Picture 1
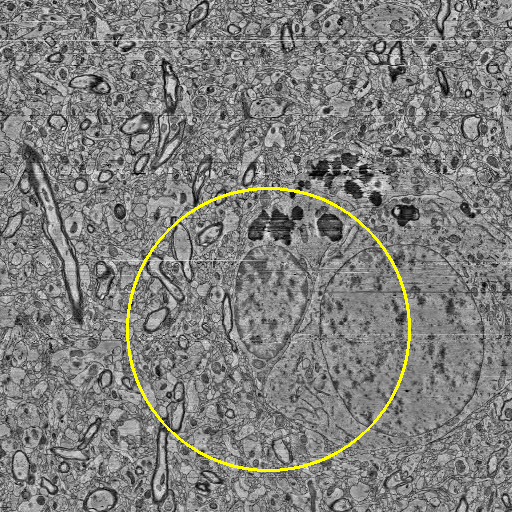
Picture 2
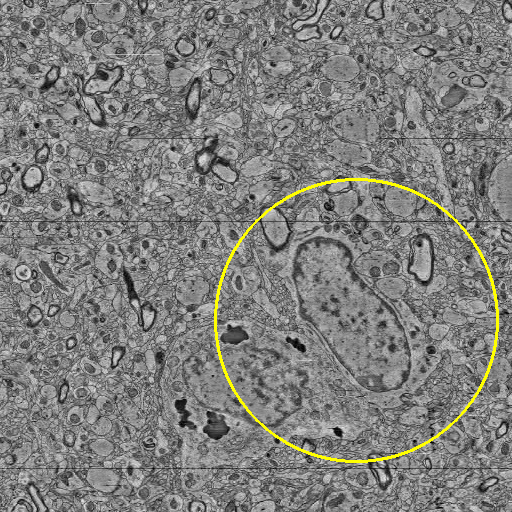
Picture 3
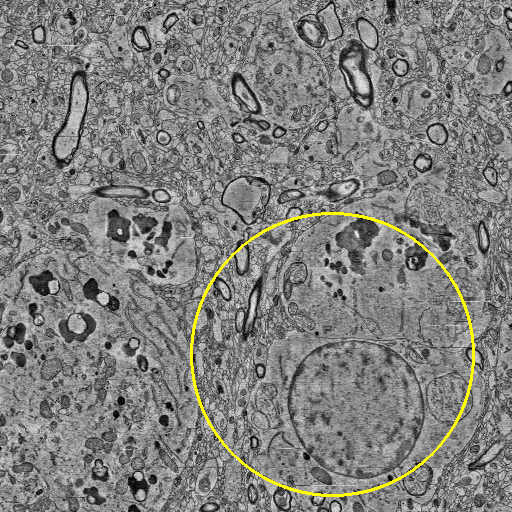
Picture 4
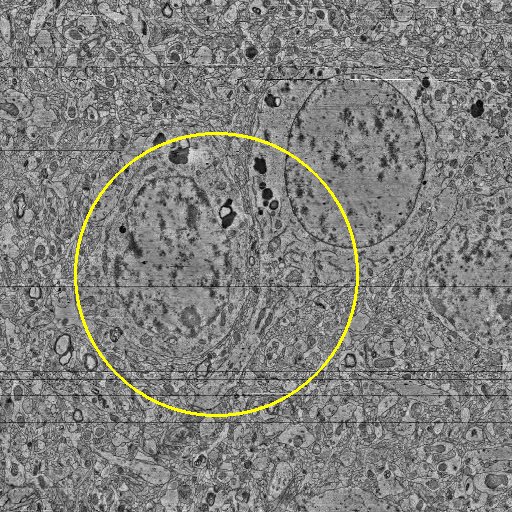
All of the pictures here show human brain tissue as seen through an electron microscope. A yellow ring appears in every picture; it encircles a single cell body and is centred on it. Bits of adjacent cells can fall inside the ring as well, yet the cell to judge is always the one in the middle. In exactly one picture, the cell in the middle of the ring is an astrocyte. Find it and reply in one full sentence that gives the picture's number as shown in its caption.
Of all the pictures, picture 3 has the right cell at the centre of its ring.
